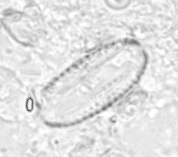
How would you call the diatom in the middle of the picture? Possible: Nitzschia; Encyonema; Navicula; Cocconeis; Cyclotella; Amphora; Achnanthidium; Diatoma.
I would call it Amphora.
